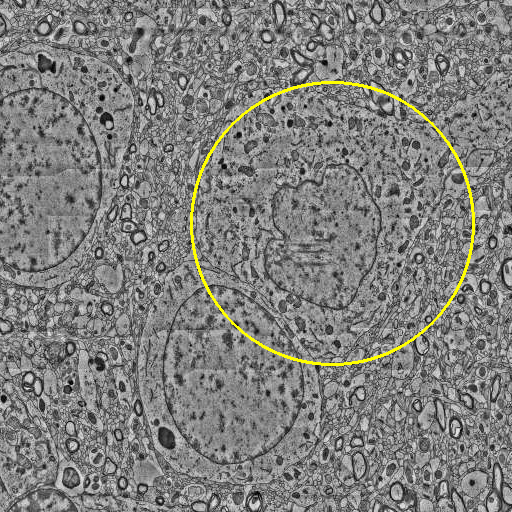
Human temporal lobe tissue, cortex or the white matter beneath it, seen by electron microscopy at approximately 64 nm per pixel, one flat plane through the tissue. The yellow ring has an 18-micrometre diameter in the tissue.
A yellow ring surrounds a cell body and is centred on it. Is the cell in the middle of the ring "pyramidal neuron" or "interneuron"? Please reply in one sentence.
The ring is centred on a pyramidal neuron.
